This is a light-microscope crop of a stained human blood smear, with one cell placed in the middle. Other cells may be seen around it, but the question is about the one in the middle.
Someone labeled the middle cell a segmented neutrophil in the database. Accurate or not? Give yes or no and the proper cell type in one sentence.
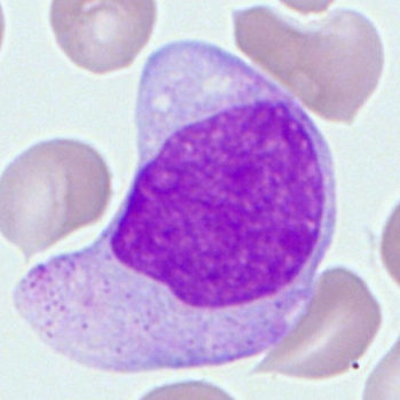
No, in this crop the middle cell is a monocyte, not a segmented neutrophil.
